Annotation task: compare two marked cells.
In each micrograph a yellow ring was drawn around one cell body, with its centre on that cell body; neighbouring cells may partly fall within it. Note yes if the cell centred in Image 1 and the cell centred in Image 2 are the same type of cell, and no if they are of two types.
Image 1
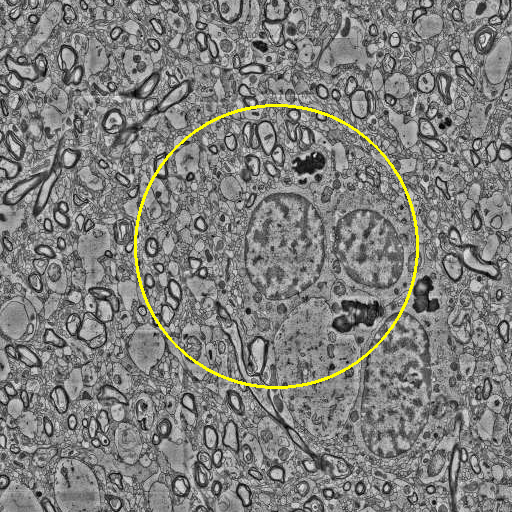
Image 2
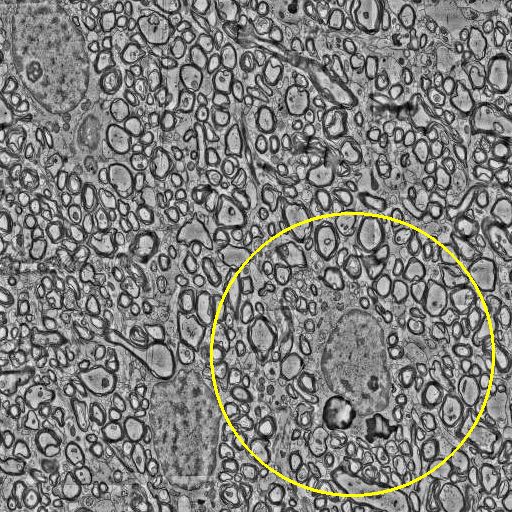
yes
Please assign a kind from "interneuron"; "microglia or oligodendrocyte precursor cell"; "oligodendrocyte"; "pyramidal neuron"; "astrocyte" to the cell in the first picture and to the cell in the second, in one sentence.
Each of the two pictures has an oligodendrocyte at the ring centre.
